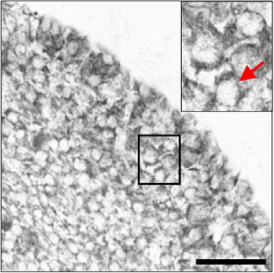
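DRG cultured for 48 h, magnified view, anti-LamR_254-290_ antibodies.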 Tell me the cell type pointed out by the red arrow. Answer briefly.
somas of sensory neurons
